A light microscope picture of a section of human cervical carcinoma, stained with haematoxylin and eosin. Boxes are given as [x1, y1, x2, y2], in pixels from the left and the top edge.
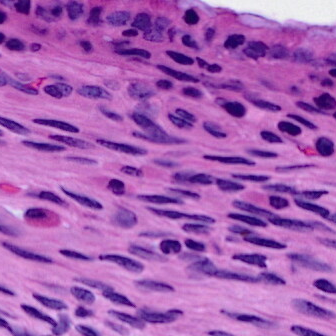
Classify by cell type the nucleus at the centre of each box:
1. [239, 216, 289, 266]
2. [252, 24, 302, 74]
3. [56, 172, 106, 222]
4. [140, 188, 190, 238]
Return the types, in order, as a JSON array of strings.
["fibroblast", "secretory epithelial cell", "fibroblast", "fibroblast"]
